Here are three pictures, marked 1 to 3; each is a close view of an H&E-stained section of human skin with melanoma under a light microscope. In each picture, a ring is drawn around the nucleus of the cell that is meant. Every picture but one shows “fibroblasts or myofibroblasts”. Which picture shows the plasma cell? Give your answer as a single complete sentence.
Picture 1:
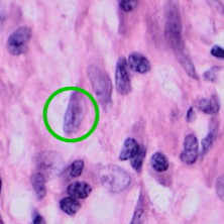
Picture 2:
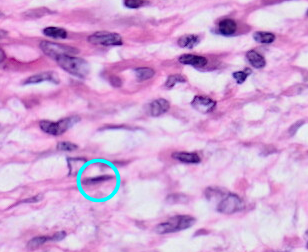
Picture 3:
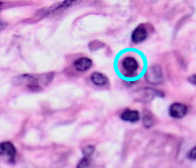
The cell in picture 3 is the plasma cell.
